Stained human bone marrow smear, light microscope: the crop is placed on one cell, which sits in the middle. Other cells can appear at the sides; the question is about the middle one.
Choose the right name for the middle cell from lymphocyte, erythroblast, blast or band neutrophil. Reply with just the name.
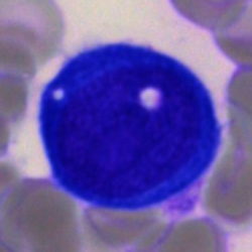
blast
